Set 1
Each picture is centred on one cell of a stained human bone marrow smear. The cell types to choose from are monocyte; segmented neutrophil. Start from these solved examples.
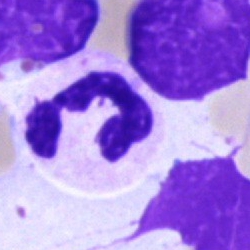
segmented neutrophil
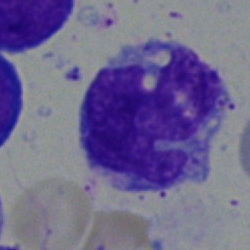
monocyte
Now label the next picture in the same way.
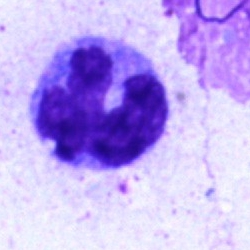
monocyte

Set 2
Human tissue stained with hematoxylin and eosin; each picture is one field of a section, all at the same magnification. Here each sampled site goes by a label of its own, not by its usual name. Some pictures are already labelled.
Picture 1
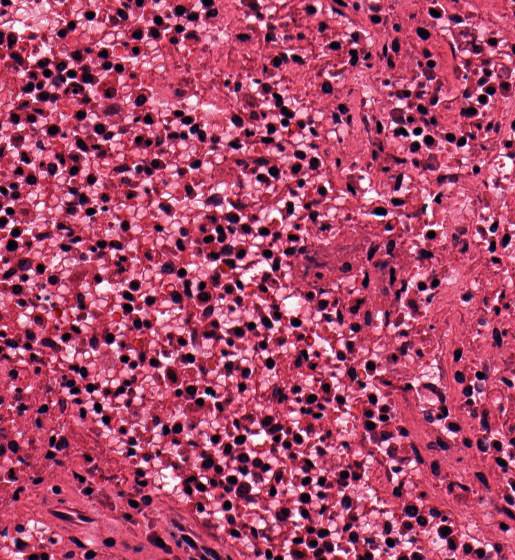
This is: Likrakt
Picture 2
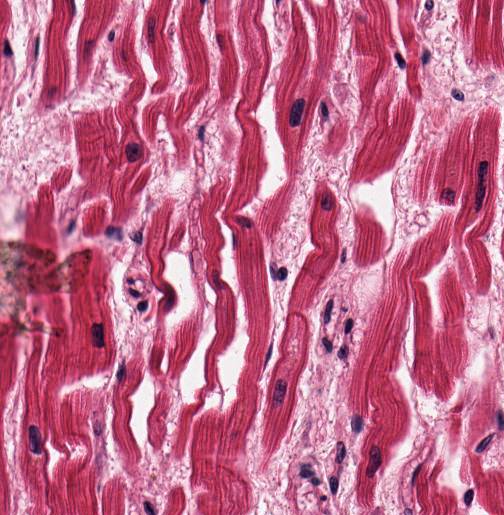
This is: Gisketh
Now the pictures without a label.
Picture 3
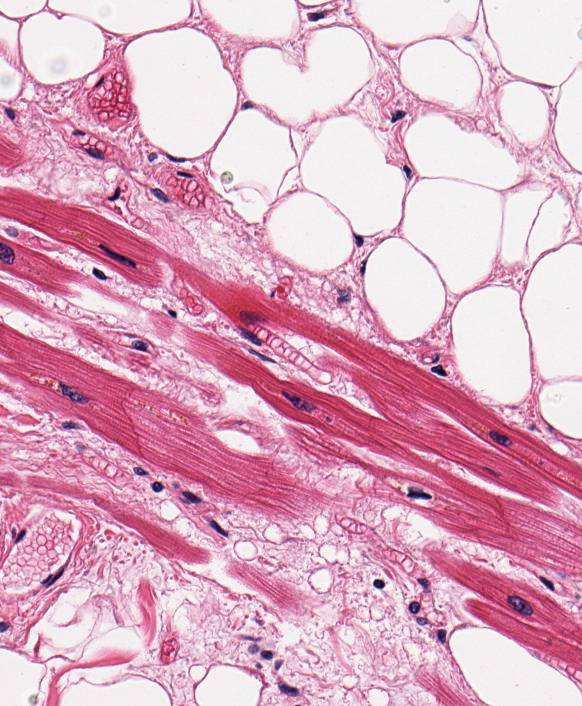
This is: Gisketh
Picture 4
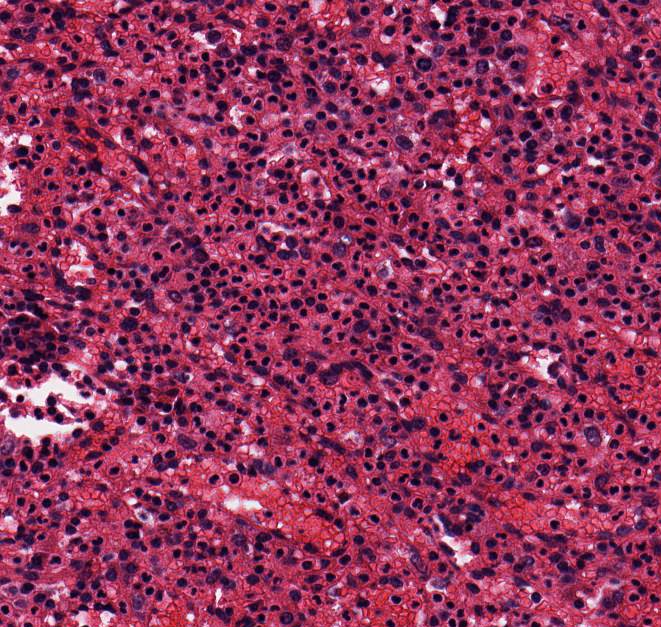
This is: Likrakt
